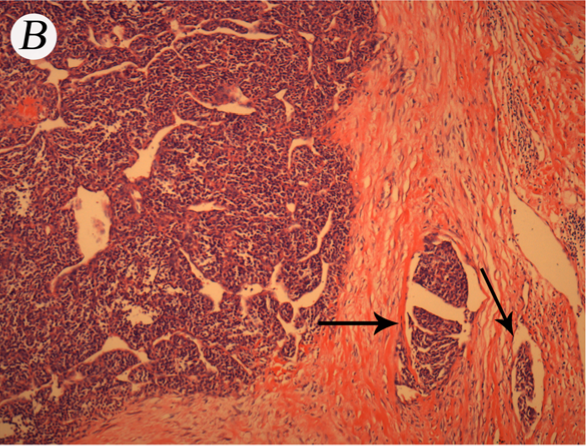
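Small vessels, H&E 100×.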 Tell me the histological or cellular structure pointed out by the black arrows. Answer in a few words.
micro-tumor thrombi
